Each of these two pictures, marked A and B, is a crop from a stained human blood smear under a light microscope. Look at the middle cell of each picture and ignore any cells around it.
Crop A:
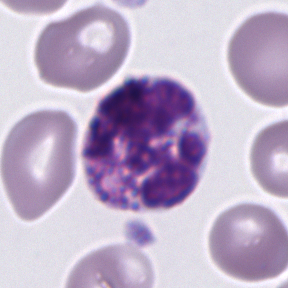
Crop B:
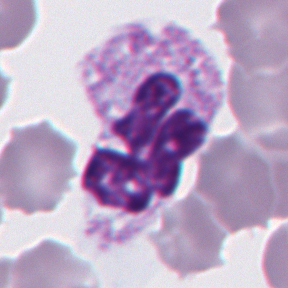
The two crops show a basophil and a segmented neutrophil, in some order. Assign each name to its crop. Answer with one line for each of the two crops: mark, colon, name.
A: basophil
B: segmented neutrophil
